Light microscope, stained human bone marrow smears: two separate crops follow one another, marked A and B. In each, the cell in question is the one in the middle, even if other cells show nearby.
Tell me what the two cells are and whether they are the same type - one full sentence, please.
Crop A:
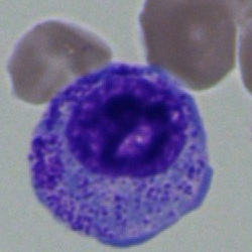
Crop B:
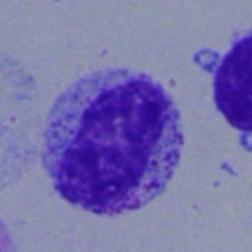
Yes, myelocytes are present at the centre of both crops.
